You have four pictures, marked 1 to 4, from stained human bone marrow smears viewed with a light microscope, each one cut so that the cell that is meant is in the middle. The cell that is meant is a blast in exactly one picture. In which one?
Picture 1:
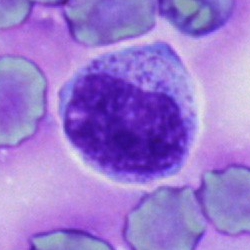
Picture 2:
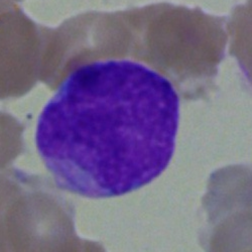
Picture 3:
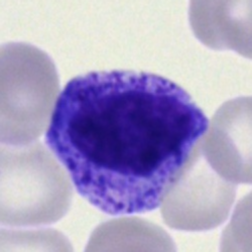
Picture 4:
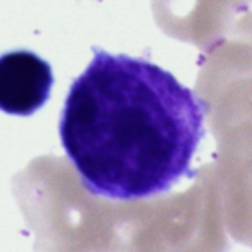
2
